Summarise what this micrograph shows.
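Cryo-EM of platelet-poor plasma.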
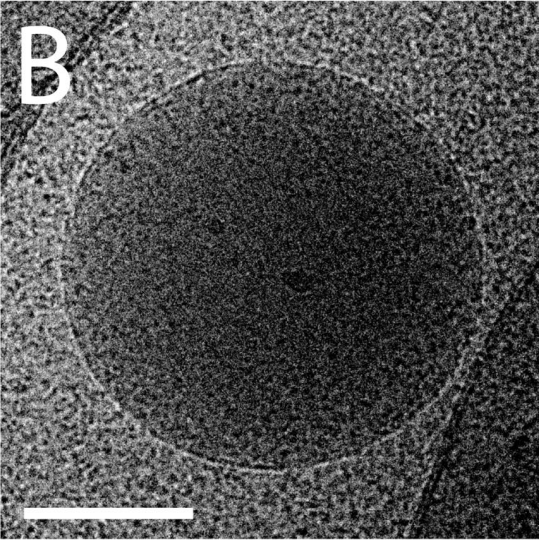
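Here a large round vesicle fills most of the field, bounded by a thin, even membrane rim. Unlike a pale vesicle, its whole interior is filled with grey, electron dense material that stands out darker than the surrounding ice.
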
